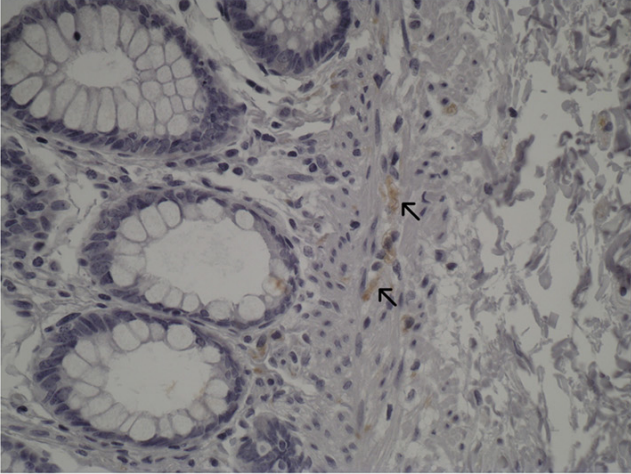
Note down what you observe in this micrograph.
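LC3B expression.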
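Normal colonic mucosa with crypts on one side and loose connective tissue on the other. The crypts are lined by a single layer of goblet-cell-rich columnar epithelium with pale mucin vacuoles and basal, dark blue nuclei, and they show no clear brown staining. Beside them runs a band of stroma with elongated and spindle-shaped nuclei; within it a few cells carry light brown granular cytoplasmic stain and are marked by arrows. Further out lies looser, paler tissue with scattered fibres and strands.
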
